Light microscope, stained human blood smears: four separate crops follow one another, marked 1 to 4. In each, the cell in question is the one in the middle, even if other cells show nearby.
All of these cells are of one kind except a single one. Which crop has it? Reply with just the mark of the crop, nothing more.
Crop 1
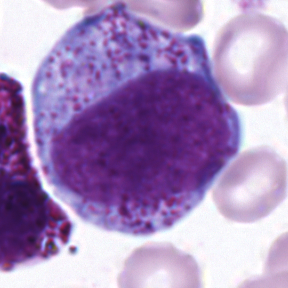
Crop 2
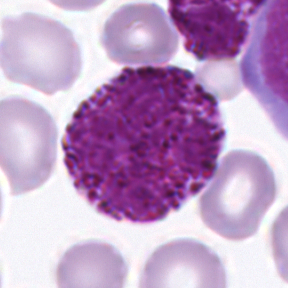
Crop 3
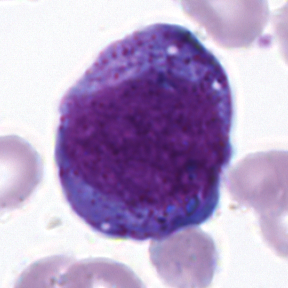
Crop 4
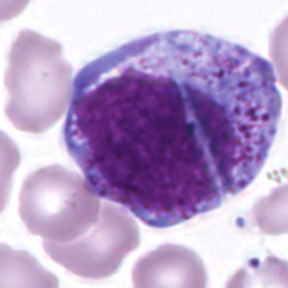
2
